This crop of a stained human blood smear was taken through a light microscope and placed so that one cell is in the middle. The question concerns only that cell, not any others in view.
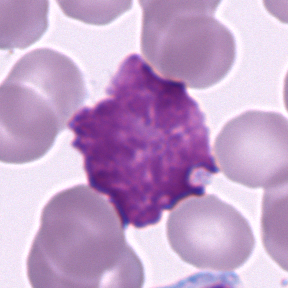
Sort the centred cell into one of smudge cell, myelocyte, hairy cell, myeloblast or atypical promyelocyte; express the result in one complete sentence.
Classified as a smudge cell is the cell in the middle of this crop.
